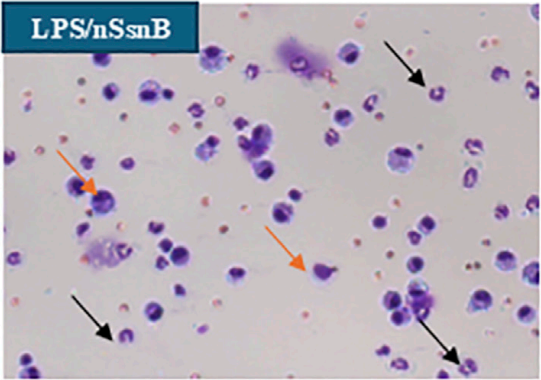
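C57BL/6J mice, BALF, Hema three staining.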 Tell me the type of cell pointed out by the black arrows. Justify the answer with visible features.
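The marked cells are small with lobed, segmented purple nuclei. They are smaller than the round-nucleated cells nearby.
Neutrophils.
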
